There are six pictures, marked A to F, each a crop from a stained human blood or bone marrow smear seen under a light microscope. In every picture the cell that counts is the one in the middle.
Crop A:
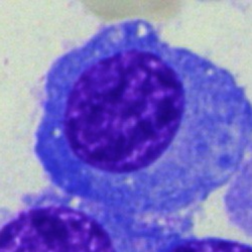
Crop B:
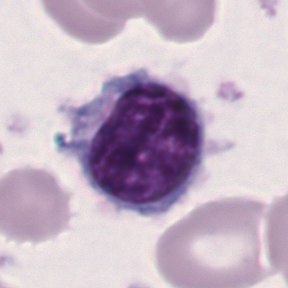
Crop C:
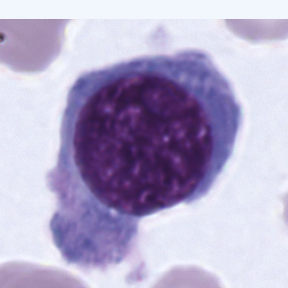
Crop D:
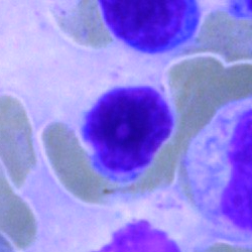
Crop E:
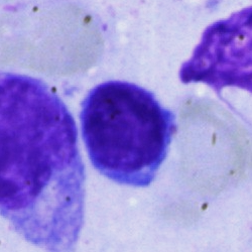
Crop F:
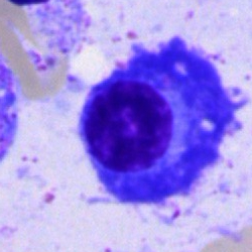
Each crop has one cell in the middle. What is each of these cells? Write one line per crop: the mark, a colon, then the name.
A: plasma cell
B: plasma cell
C: plasma cell
D: lymphocyte
E: lymphocyte
F: plasma cell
